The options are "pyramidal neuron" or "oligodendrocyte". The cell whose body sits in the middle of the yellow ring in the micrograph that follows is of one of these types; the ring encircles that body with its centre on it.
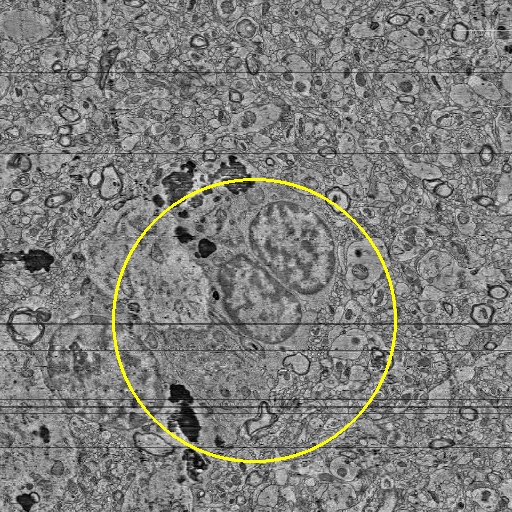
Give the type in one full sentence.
Going by the micrograph, the cell centred in the yellow ring is an oligodendrocyte.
